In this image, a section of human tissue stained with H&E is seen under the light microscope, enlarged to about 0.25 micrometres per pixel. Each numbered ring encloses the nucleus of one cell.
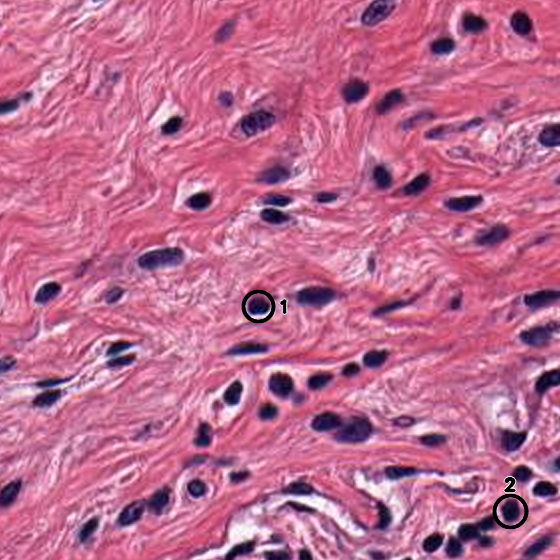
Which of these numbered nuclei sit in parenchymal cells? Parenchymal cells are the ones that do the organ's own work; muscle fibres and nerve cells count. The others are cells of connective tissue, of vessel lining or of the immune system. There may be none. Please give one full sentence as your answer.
The numbering marks no nucleus of a parenchymal cell.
